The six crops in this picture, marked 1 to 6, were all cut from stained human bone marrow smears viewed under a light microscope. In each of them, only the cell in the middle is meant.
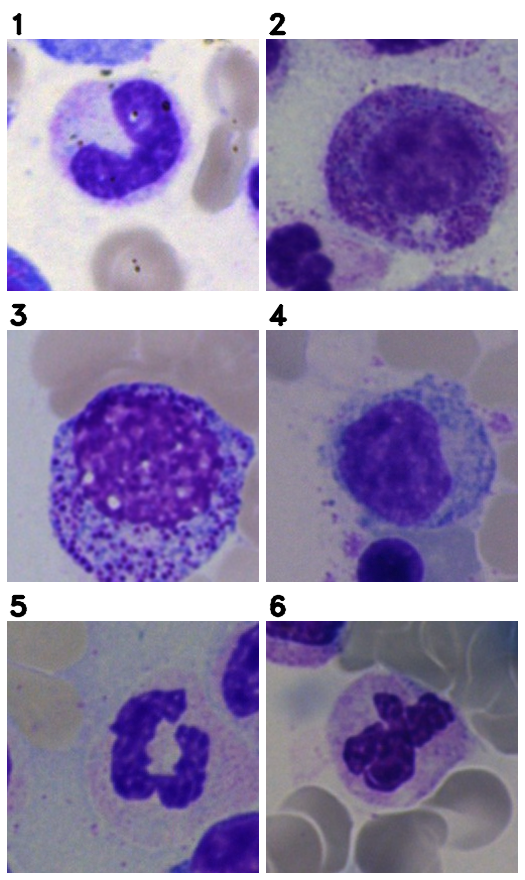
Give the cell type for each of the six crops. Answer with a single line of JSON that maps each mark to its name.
{"1": "band neutrophil", "2": "myelocyte", "3": "myelocyte", "4": "myelocyte", "5": "segmented neutrophil", "6": "segmented neutrophil"}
